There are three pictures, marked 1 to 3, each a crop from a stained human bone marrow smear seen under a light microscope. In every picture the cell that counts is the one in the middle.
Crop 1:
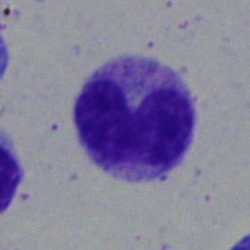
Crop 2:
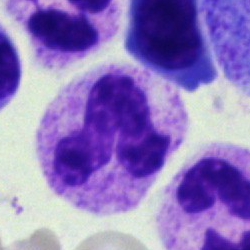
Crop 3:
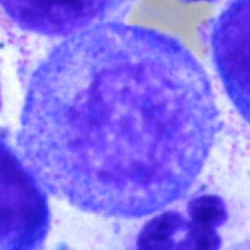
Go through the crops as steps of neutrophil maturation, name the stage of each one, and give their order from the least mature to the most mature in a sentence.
The sequence in which maturity rises is crop 3 (a promyelocyte), crop 1 (a band neutrophil) and crop 2 (a segmented neutrophil).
